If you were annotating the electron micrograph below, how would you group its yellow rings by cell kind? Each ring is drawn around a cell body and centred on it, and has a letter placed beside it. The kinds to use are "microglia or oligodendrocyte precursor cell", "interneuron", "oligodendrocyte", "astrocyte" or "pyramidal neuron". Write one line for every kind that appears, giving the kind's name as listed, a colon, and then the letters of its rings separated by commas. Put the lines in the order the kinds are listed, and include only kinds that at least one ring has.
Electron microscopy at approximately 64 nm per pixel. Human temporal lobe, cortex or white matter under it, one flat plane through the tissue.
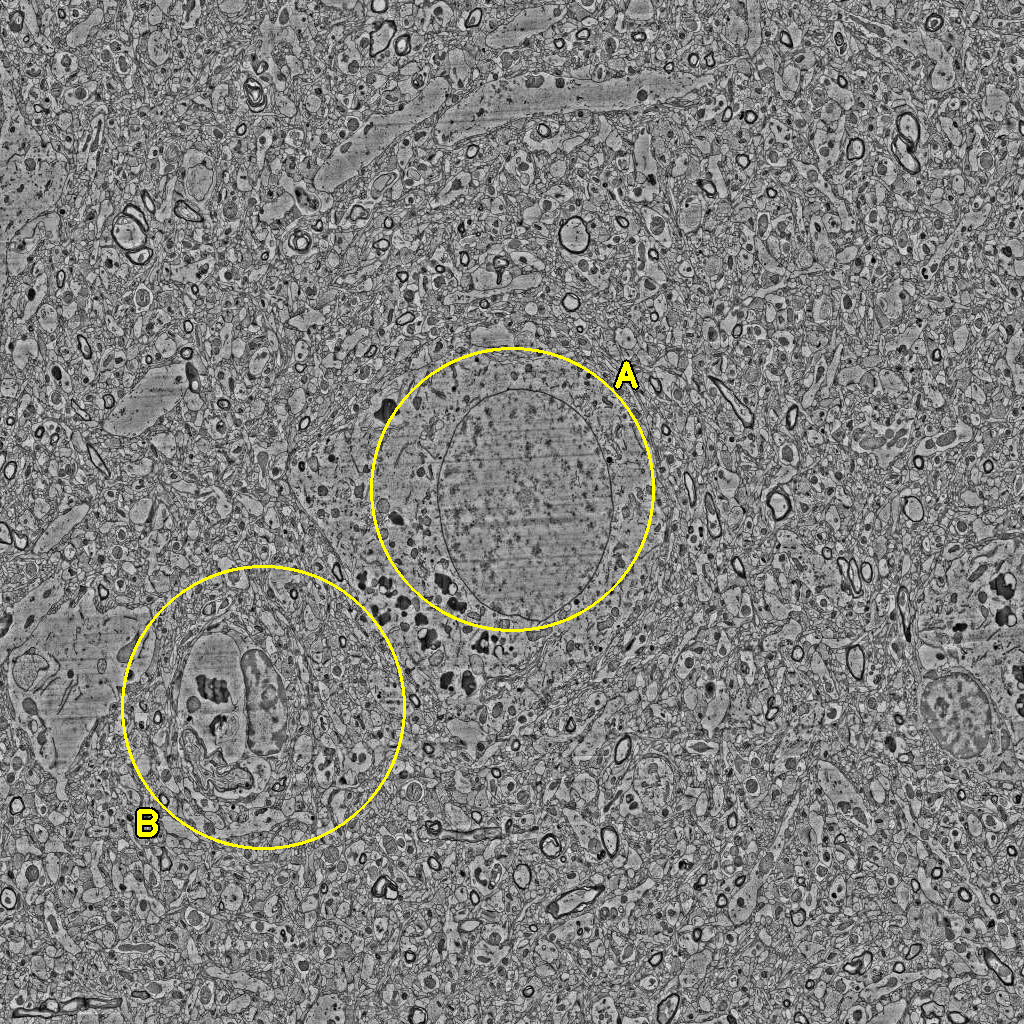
microglia or oligodendrocyte precursor cell: B
pyramidal neuron: A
